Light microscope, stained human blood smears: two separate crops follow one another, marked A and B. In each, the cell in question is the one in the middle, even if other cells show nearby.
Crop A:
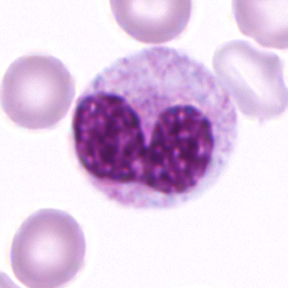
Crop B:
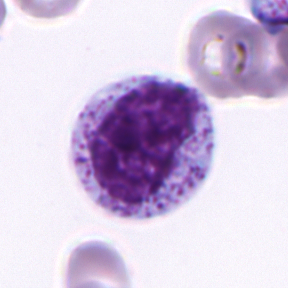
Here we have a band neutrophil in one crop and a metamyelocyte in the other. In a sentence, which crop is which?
What crop A shows is a band neutrophil, and what crop B shows is a metamyelocyte.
